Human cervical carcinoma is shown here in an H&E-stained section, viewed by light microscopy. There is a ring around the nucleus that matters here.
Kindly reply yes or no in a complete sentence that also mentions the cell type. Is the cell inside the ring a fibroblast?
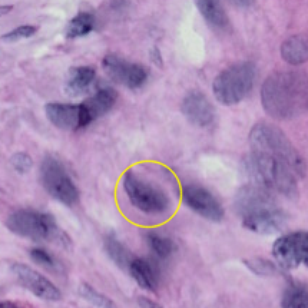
Yes, it holds that the cell inside the ring is a fibroblast.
